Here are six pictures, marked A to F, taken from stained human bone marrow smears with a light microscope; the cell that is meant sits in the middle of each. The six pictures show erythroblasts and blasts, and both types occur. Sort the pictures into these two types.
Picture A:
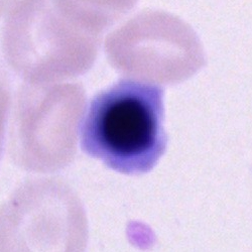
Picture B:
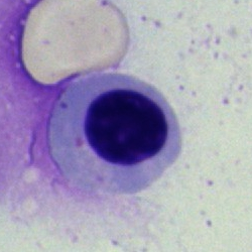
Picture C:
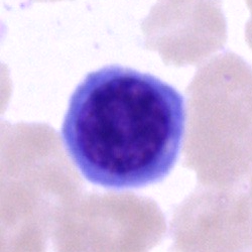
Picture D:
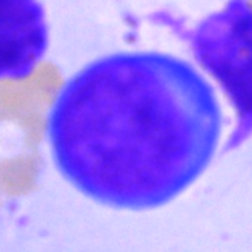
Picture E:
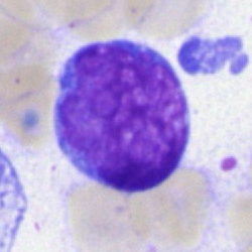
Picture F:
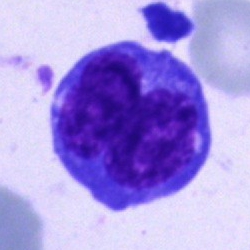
A: erythroblast
B: erythroblast
C: erythroblast
D: blast
E: blast
F: blast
